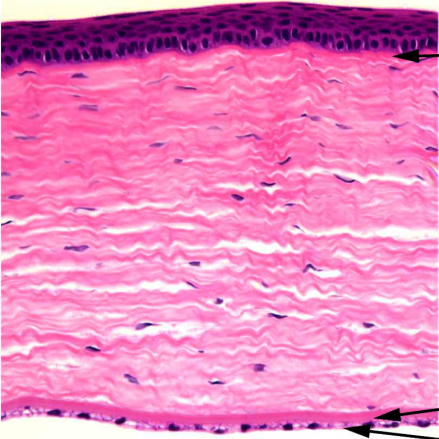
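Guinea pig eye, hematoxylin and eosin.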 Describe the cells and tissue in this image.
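This is a full-thickness section of the cornea. A stratified epithelium several cells thick, with dark purple nuclei, covers the top surface and rests on a thin acellular band, Bowman's membrane. Most of the thickness is a pale pink stroma of regular, wavy lamellae with sparse, flattened keratocyte nuclei lying between them. At the bottom, a thin homogeneous Descemet's membrane is lined by a single layer of flat endothelial cells.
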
